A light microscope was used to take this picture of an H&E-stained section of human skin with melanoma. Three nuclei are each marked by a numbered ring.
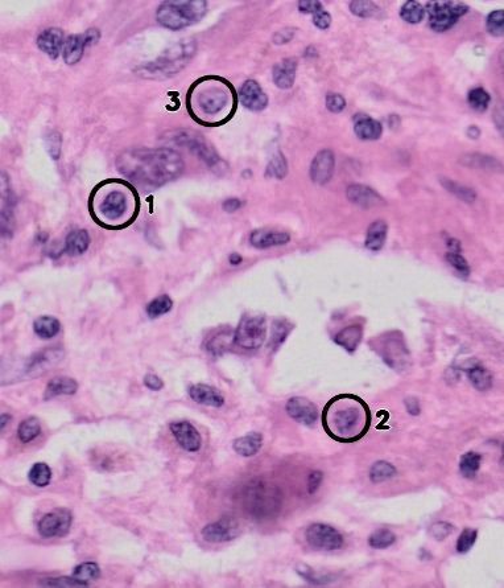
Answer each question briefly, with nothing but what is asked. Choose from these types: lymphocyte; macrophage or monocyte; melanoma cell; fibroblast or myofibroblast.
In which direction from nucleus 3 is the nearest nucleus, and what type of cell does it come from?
a lymphocyte to the right of nucleus 3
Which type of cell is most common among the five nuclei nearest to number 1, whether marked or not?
macrophage or monocyte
